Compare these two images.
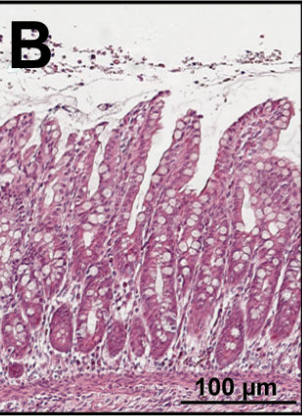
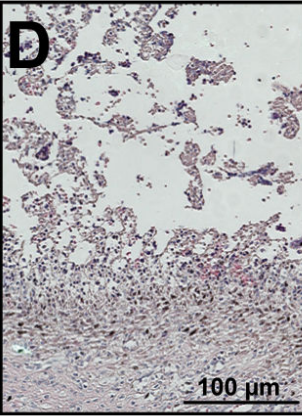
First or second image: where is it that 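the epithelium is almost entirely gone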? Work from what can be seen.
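Second image: no crypts or villi, only loose tissue with debris above. First image: crypts and villi lined by columnar epithelium remain.
Answer: the second image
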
